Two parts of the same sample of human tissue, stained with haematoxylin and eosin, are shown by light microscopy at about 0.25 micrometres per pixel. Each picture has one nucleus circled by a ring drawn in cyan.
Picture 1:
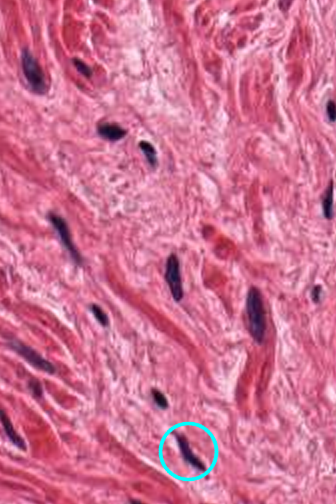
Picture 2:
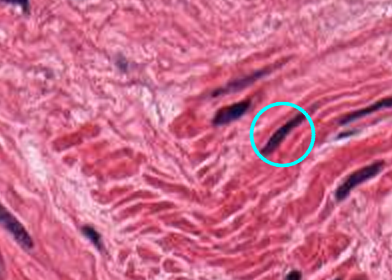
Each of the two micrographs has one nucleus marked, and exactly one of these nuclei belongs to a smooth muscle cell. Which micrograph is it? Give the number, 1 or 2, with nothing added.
2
